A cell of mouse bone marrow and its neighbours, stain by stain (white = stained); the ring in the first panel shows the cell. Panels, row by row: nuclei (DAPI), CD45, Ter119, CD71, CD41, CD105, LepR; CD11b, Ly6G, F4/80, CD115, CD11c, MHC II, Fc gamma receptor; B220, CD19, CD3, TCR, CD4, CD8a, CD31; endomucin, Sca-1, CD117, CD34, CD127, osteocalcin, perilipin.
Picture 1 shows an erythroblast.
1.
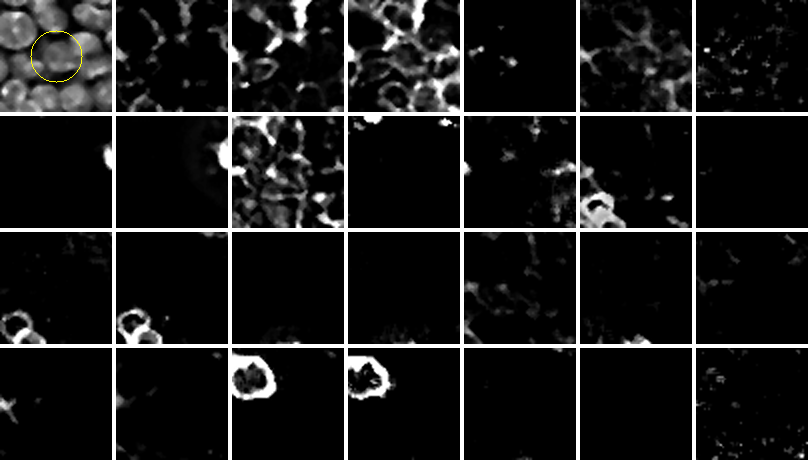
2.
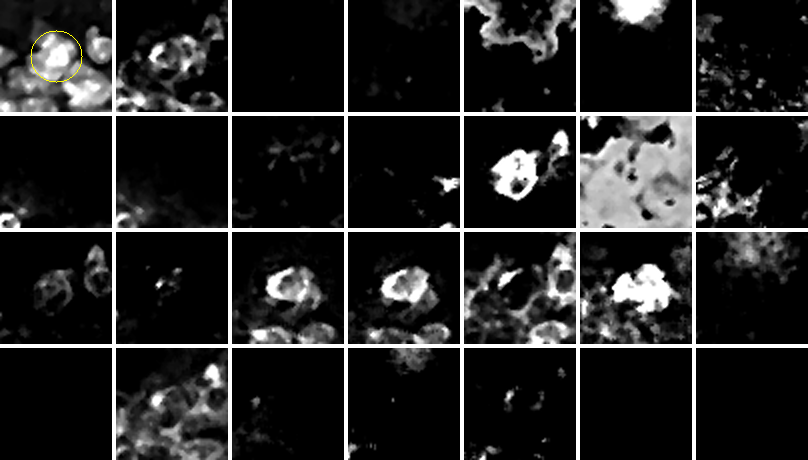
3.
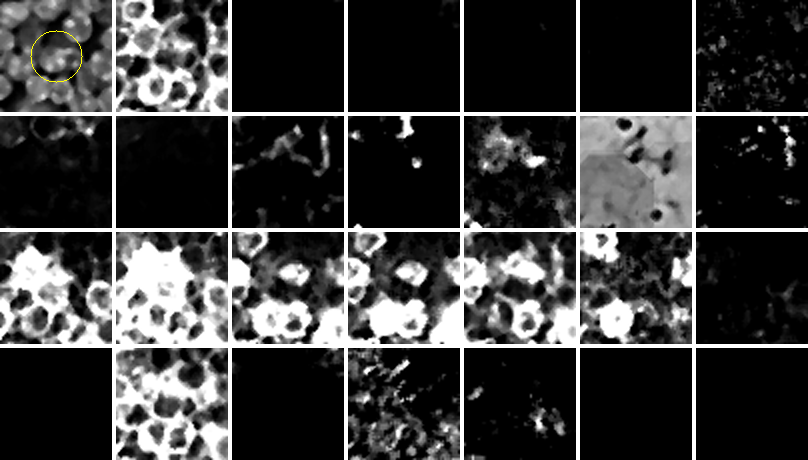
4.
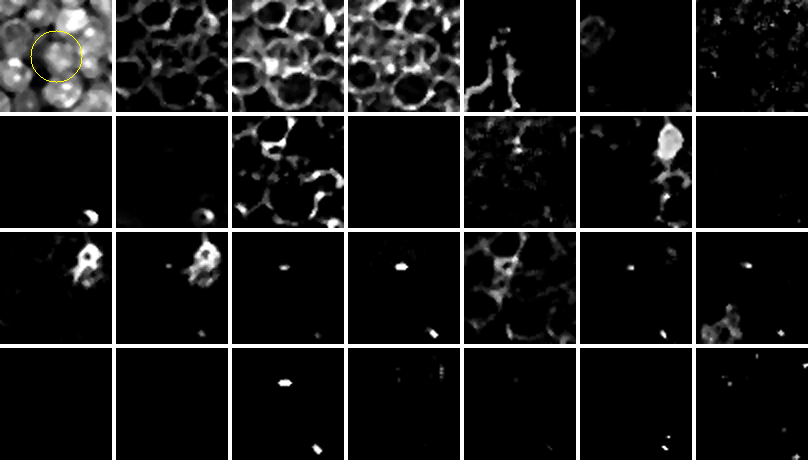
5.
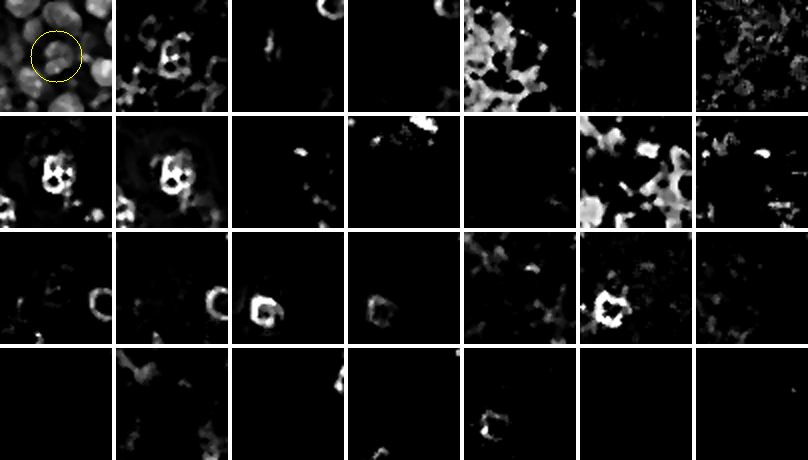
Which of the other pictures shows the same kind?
Picture 4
